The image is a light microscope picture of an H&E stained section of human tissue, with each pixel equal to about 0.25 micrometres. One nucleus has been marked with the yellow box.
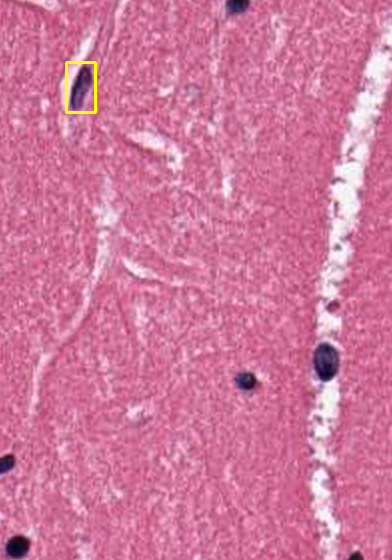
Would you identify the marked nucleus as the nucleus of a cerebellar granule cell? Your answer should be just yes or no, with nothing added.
no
